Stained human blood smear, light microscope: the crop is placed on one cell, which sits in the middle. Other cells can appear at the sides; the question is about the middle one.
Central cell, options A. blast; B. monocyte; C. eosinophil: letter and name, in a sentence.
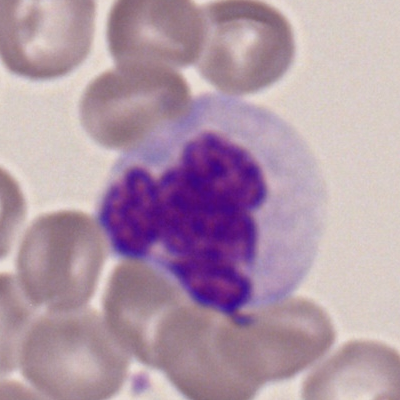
The cell in the middle is a monocyte, and that makes option B correct.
